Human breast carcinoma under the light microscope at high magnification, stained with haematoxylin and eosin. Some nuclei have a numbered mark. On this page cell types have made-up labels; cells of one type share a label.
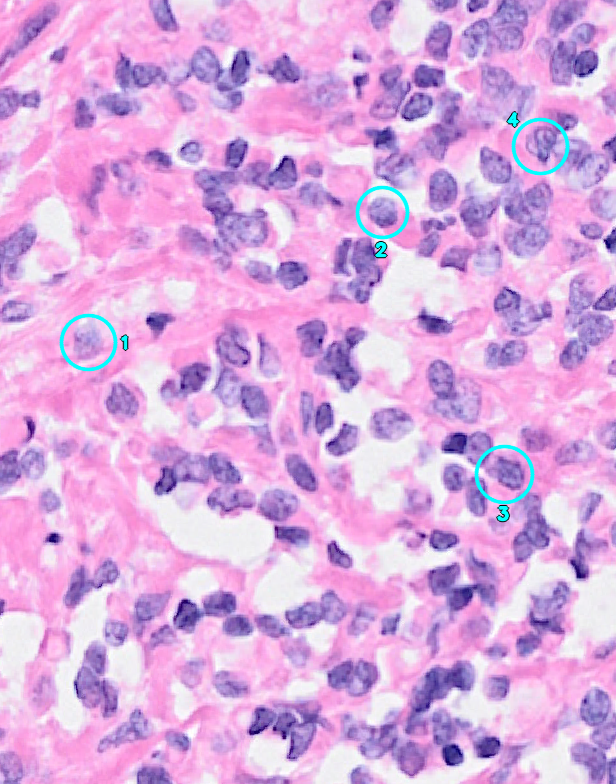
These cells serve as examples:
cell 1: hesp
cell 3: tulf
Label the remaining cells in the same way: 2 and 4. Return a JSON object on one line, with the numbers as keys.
{"2": "tulf", "4": "tulf"}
